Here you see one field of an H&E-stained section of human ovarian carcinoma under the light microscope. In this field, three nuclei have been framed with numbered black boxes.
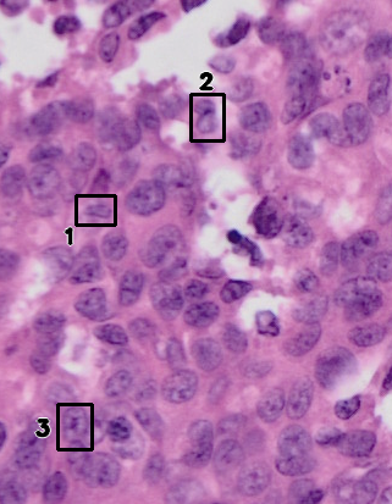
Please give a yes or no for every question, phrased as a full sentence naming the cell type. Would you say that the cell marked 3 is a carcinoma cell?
Yes, cell number 3 in this section is a carcinoma cell.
